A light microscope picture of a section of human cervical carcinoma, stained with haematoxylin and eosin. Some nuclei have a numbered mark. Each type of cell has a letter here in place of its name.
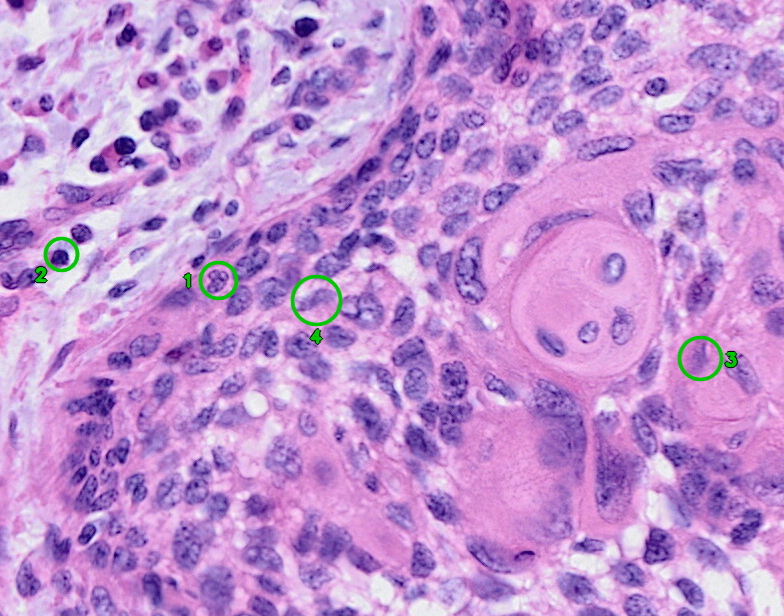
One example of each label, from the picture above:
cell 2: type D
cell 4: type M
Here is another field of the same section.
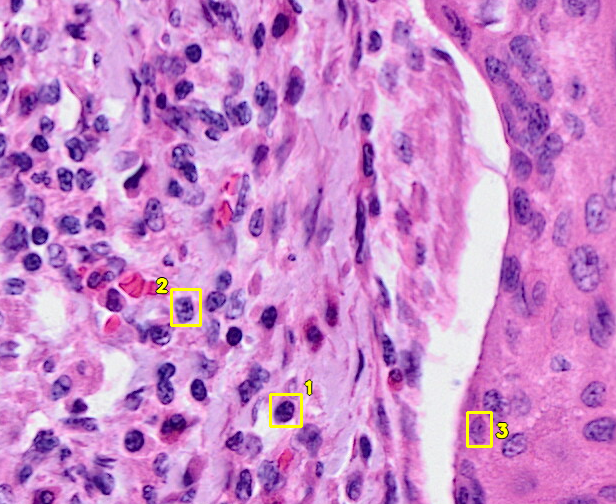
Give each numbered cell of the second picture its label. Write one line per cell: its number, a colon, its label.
1: type D
2: type D
3: type M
